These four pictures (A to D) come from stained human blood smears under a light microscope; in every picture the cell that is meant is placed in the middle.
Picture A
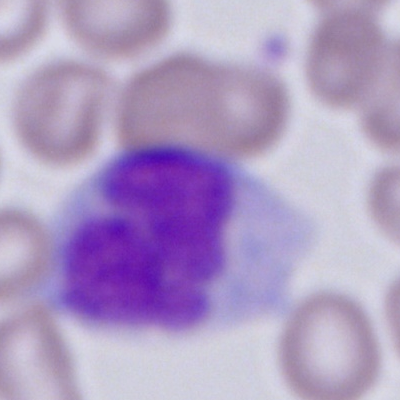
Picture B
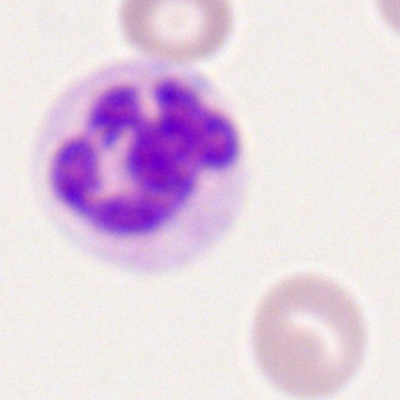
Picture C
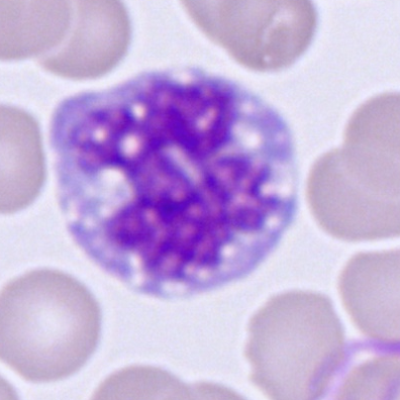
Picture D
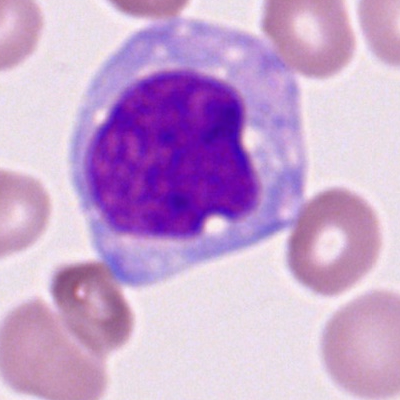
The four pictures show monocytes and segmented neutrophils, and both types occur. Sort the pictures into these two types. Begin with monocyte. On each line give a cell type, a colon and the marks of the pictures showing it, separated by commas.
monocyte: A, C, D
segmented neutrophil: B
